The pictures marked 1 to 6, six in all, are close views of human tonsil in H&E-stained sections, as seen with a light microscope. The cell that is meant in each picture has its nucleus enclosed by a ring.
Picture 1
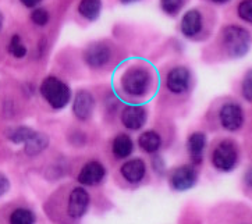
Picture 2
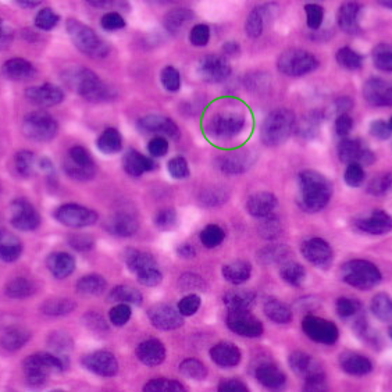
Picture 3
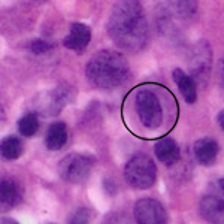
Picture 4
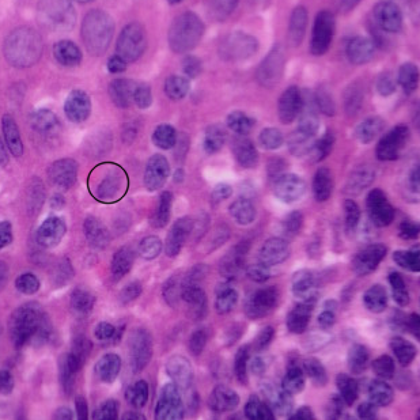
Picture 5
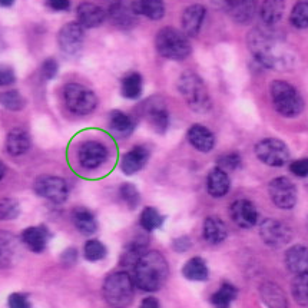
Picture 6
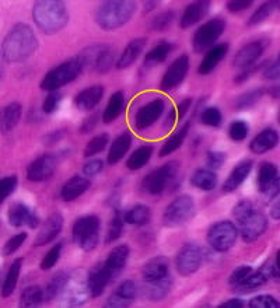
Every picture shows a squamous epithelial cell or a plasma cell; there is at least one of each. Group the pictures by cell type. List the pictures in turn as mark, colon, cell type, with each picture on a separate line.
1: plasma cell
2: squamous epithelial cell
3: squamous epithelial cell
4: squamous epithelial cell
5: plasma cell
6: squamous epithelial cell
